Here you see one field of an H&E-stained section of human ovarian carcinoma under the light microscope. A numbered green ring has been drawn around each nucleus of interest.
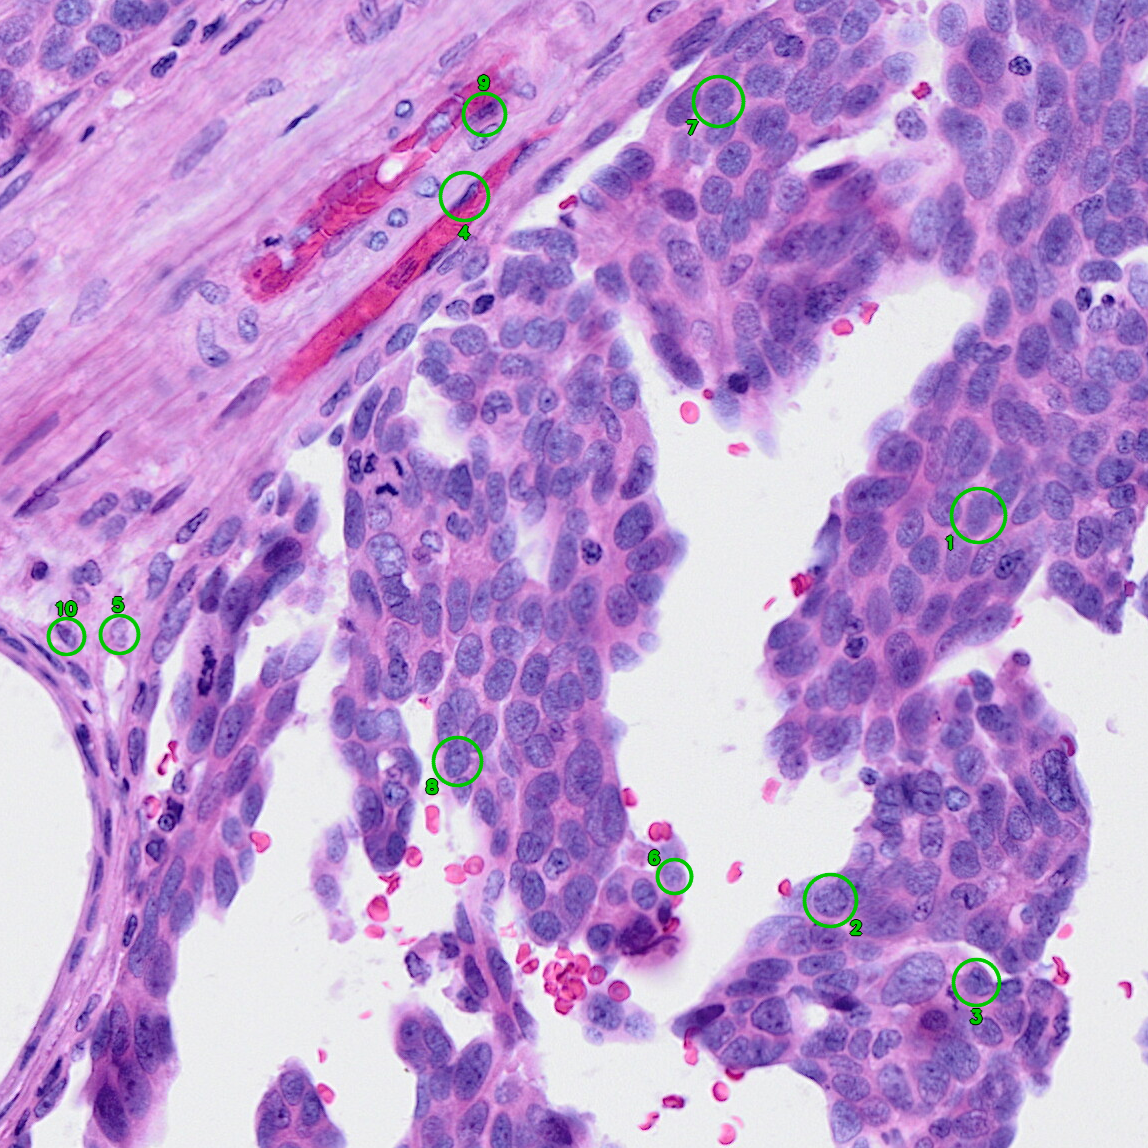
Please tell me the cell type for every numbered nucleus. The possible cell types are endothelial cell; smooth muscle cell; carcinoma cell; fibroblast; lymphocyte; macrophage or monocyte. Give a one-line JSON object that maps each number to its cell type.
{"1": "carcinoma cell", "2": "carcinoma cell", "3": "carcinoma cell", "4": "endothelial cell", "5": "fibroblast", "6": "carcinoma cell", "7": "carcinoma cell", "8": "carcinoma cell", "9": "endothelial cell", "10": "fibroblast"}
